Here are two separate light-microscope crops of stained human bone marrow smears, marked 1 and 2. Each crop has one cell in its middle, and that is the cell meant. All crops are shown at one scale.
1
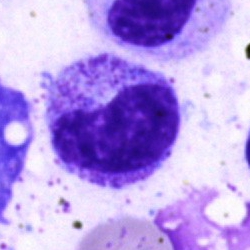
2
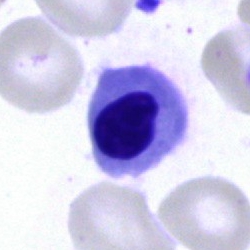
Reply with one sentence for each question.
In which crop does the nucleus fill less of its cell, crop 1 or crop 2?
In crop 2 the nucleus takes up the smaller part of its cell.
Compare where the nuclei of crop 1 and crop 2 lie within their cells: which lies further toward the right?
Seen within its cell, the nucleus in crop 1 lies further toward the right.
